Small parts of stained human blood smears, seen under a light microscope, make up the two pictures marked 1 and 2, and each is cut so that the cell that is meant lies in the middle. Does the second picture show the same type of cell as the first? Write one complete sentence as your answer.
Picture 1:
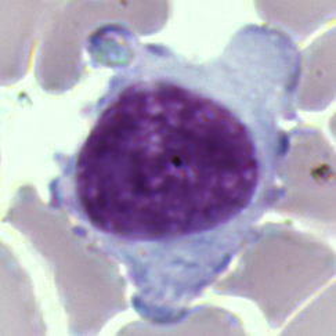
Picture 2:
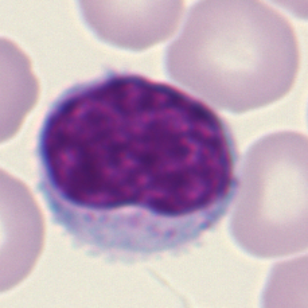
No, they differ: the cell is a plasma cell in picture 1 and a typical lymphocyte in picture 2.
